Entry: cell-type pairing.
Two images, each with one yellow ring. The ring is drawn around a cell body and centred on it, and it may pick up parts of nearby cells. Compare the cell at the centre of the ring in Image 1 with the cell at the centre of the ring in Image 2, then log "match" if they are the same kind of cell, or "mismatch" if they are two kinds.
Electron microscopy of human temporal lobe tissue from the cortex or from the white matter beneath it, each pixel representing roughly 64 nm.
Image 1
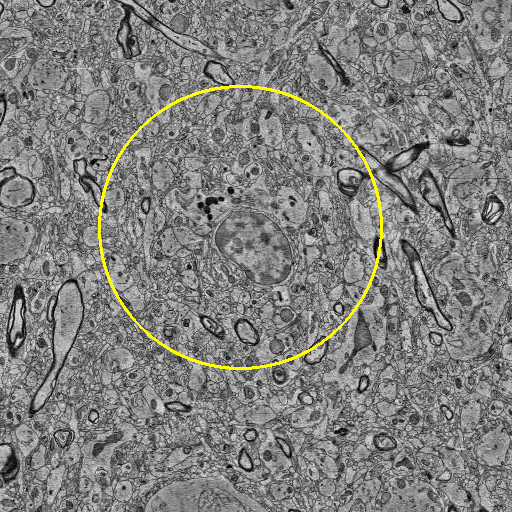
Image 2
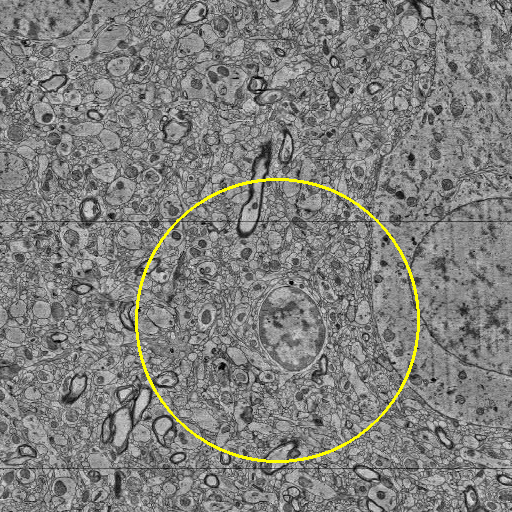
match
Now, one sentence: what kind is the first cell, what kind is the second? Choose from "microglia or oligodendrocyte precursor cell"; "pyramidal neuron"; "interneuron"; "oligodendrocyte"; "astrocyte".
The second cell is a microglial cell or oligodendrocyte precursor cell, just as the first is.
